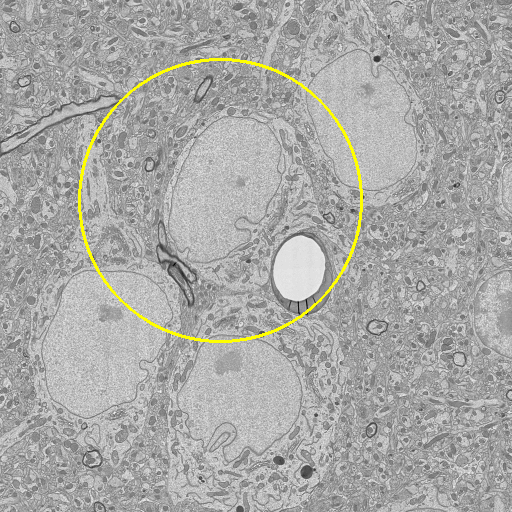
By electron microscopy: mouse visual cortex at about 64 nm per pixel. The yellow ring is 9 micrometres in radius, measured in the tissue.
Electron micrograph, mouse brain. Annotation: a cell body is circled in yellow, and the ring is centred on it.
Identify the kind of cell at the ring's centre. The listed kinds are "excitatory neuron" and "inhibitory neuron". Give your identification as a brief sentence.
The circled cell body is that of an inhibitory neuron.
